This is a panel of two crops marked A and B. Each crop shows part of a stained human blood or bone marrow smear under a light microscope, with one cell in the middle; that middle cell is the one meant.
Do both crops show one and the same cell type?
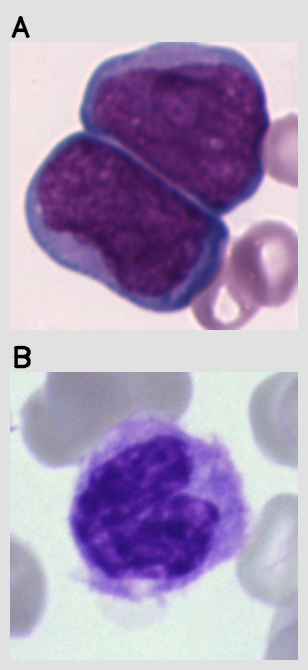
no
